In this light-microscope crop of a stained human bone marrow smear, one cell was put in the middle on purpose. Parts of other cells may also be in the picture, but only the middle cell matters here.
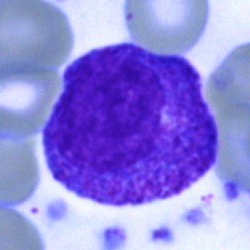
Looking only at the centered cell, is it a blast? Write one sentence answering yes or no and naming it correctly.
No, the correct answer for the middle cell is a promyelocyte, not a blast.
